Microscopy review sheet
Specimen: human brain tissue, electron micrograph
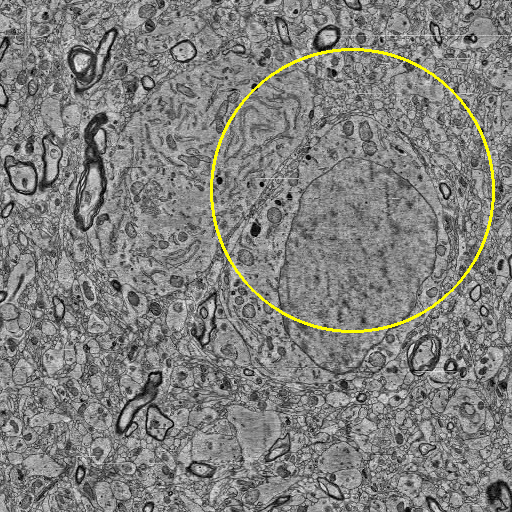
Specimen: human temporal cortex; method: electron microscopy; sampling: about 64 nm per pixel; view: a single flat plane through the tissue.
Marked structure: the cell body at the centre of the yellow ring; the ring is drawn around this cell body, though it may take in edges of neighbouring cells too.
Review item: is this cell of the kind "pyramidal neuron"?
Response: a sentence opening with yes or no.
Yes, this cell is of that kind.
